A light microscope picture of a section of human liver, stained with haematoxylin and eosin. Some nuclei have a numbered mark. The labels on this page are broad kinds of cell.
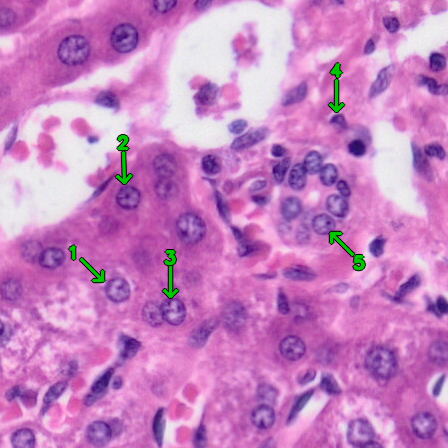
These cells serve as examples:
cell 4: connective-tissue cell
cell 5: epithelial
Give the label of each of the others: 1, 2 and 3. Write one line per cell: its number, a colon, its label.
1: epithelial
2: epithelial
3: epithelial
